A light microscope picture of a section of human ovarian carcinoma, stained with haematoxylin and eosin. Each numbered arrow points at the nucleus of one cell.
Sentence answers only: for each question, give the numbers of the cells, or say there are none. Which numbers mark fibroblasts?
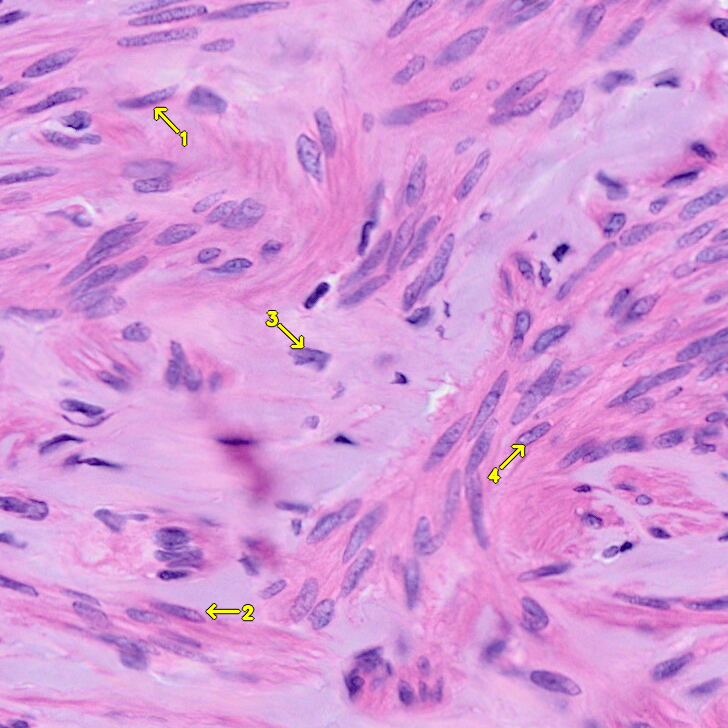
Only at number 3 is there a fibroblast among the marked cells.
